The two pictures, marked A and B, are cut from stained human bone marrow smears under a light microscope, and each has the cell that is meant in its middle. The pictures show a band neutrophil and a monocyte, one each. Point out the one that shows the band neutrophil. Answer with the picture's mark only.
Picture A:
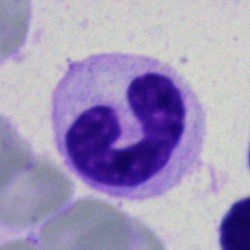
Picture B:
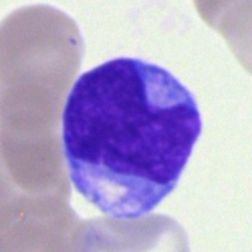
A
